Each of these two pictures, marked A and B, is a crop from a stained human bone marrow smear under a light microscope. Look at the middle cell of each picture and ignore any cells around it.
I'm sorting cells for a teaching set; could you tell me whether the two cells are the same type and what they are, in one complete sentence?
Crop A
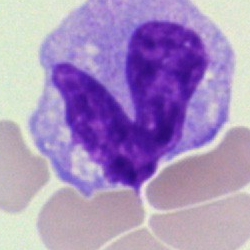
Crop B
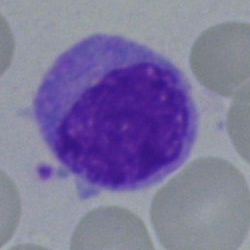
Yes, the cells at the centre of the two crops are both monocytes.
